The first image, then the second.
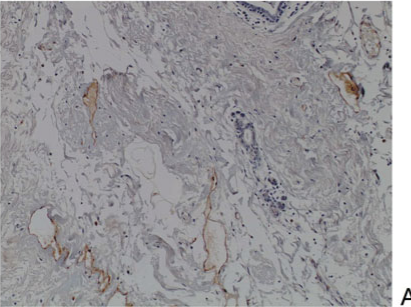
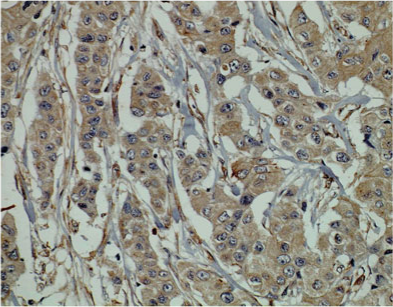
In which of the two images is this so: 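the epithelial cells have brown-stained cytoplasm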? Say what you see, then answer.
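The second image. Second image: crowded epithelial cells with brown cytoplasm fill the field. First image: the small epithelial clusters are blue only; brown is confined to vessel walls.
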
